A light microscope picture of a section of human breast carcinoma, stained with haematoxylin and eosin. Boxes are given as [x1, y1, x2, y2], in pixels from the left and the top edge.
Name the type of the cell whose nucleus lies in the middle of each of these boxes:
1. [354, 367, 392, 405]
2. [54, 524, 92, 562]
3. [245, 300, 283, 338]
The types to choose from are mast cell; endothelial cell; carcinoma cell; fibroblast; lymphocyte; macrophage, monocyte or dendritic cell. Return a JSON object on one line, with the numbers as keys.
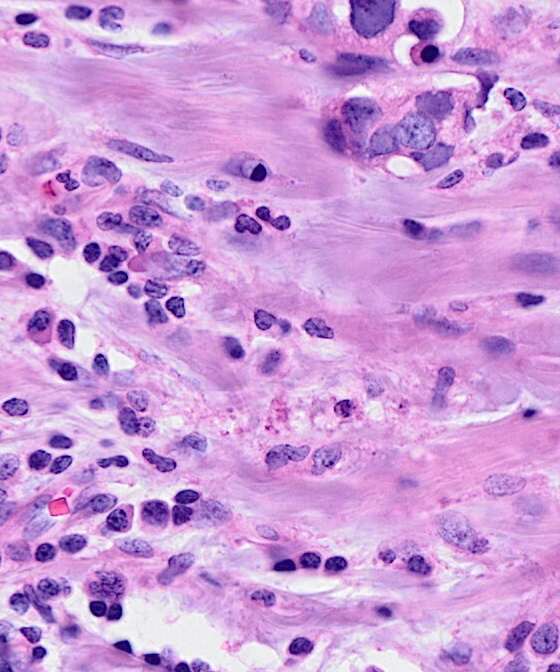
{"1": "fibroblast", "2": "lymphocyte", "3": "lymphocyte"}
